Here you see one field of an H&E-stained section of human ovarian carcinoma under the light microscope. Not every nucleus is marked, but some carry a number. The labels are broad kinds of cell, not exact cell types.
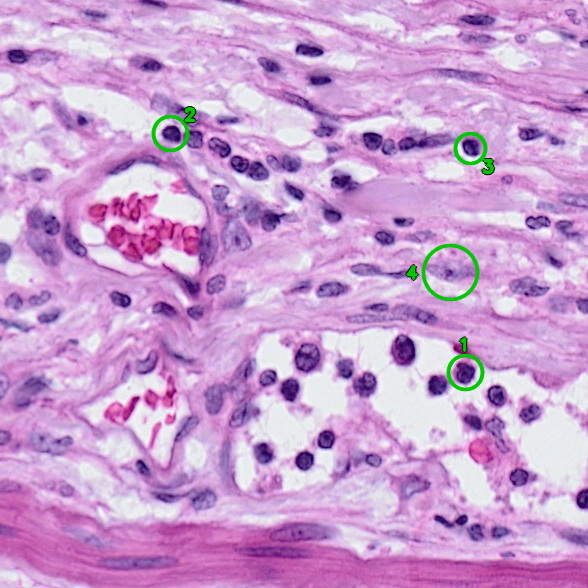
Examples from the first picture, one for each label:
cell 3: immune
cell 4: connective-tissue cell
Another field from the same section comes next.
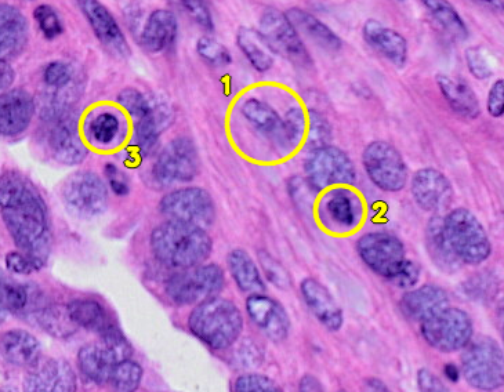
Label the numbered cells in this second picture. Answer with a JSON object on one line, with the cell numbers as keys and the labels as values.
{"1": "connective-tissue cell", "2": "immune", "3": "immune"}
